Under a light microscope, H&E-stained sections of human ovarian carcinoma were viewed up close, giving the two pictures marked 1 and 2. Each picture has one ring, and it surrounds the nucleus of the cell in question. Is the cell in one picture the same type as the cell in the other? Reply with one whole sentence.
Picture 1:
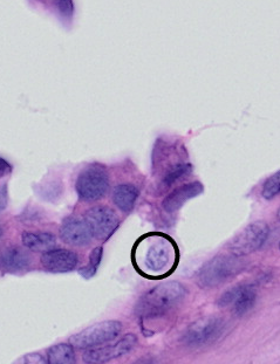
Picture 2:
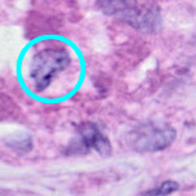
Yes, the two pictures both show “macrophages or monocytes”.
